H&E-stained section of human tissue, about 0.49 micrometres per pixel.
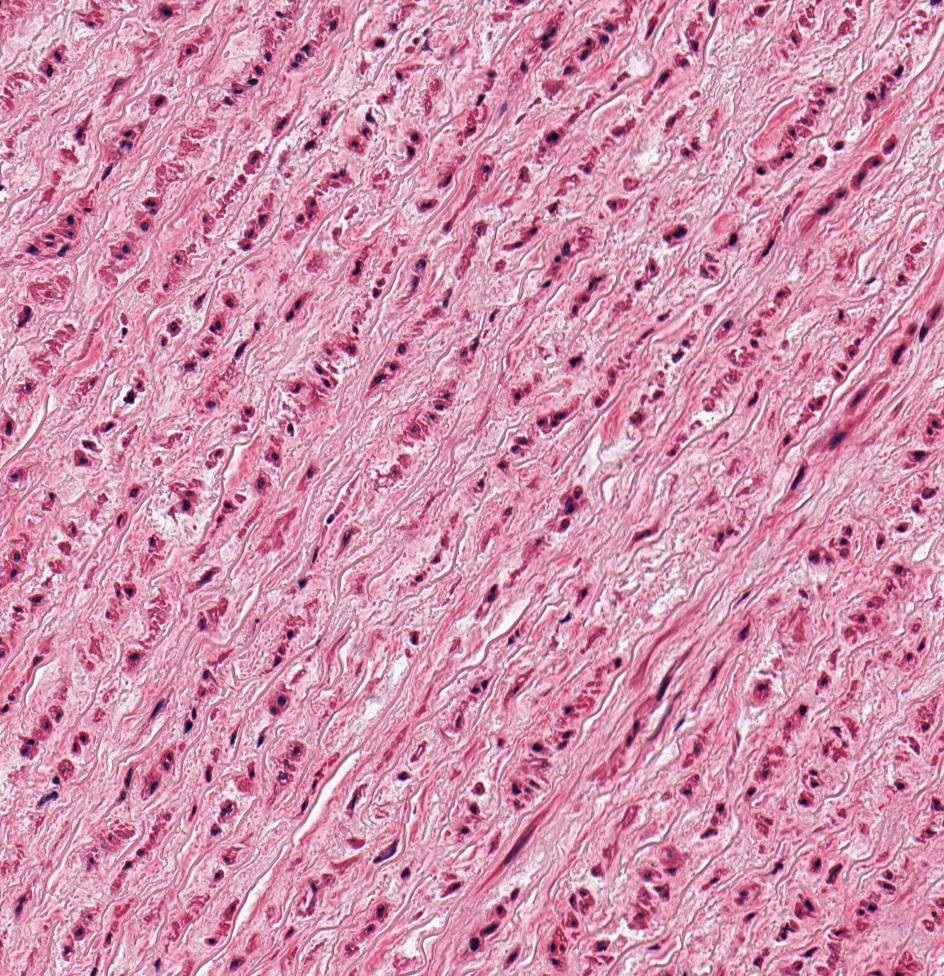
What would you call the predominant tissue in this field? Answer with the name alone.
tunica media of an artery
